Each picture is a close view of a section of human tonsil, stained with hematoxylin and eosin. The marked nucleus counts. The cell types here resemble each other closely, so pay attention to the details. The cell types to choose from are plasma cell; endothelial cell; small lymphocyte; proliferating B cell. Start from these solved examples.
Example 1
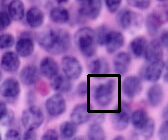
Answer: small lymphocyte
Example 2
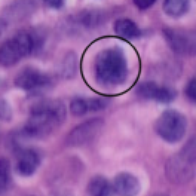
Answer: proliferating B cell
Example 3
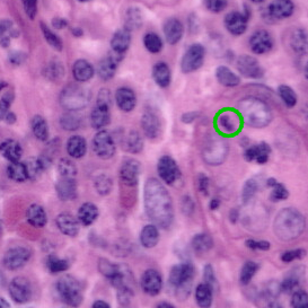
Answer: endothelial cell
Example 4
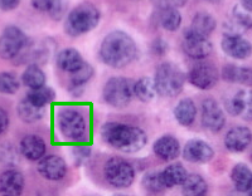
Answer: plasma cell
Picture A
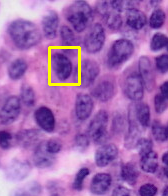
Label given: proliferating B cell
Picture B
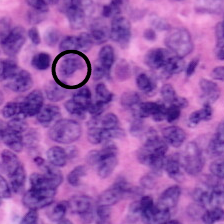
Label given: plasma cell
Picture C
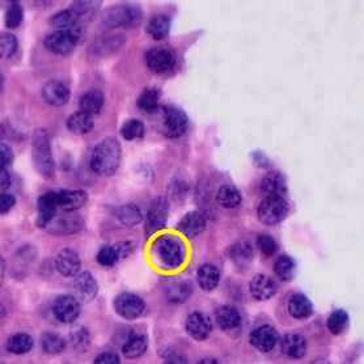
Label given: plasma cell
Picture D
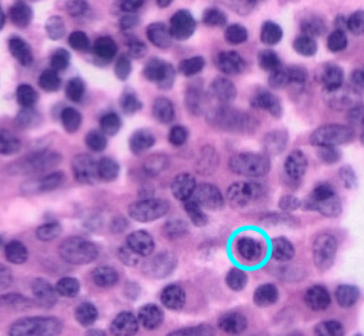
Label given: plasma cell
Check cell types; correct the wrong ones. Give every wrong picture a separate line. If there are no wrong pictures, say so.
B: proliferating B cell, not plasma cell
